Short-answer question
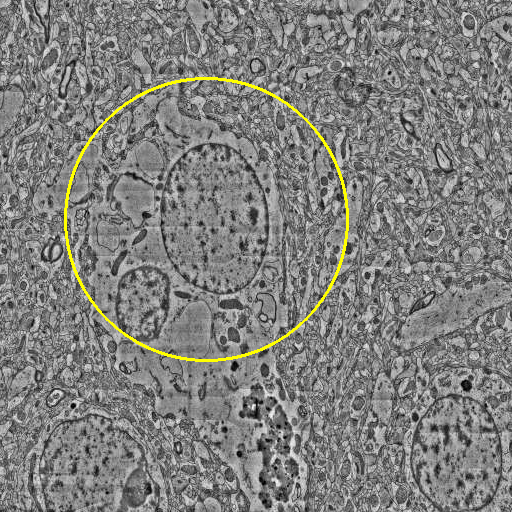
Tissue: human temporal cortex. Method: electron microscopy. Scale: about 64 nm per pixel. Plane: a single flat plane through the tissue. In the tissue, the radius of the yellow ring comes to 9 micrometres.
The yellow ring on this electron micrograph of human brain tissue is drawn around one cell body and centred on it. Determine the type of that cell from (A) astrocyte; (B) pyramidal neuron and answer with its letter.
A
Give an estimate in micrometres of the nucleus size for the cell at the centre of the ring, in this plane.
About 10 micrometres by about 7 micrometres in this plane.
